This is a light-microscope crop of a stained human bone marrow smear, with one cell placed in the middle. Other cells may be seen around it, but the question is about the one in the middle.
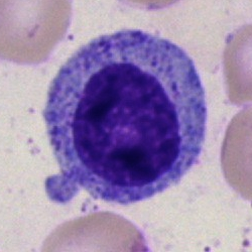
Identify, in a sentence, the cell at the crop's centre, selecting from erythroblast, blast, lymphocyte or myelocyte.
The crop shows a myelocyte in its centre.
